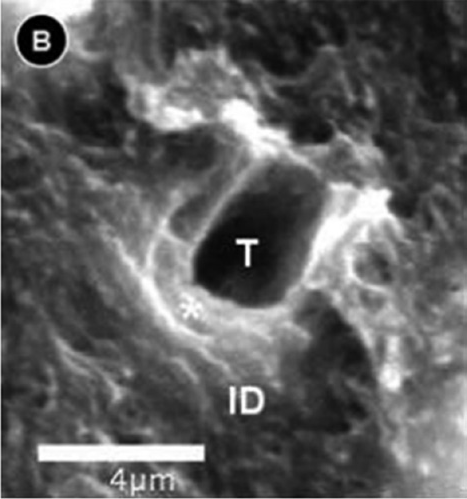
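Scanning electron micrograph of dentin showing a single dentinal tubule opening as a dark oval lumen. The opening is encircled by a bright, smooth collar of peritubular dentin, which in turn is set in a darker, rougher intertubular dentin matrix.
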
